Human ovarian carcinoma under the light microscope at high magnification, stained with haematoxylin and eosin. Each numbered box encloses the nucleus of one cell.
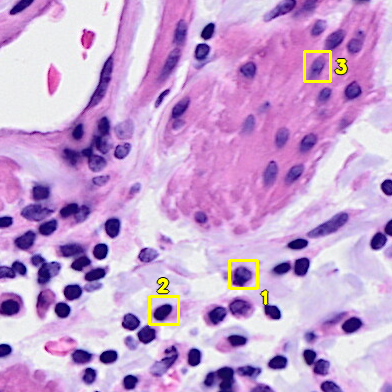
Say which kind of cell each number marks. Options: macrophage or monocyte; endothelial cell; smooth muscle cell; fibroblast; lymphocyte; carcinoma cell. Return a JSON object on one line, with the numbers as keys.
{"1": "lymphocyte", "2": "lymphocyte", "3": "smooth muscle cell"}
